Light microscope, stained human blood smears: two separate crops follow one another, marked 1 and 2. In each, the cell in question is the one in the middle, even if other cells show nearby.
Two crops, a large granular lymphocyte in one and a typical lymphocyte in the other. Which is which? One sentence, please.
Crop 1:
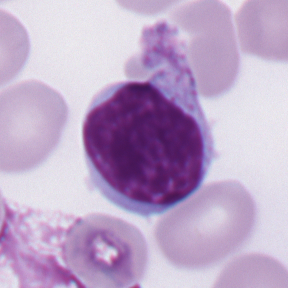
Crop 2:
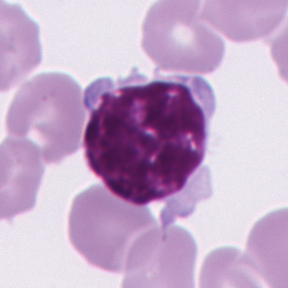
Crop 1 is identified as a large granular lymphocyte, and crop 2 is identified as a typical lymphocyte.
